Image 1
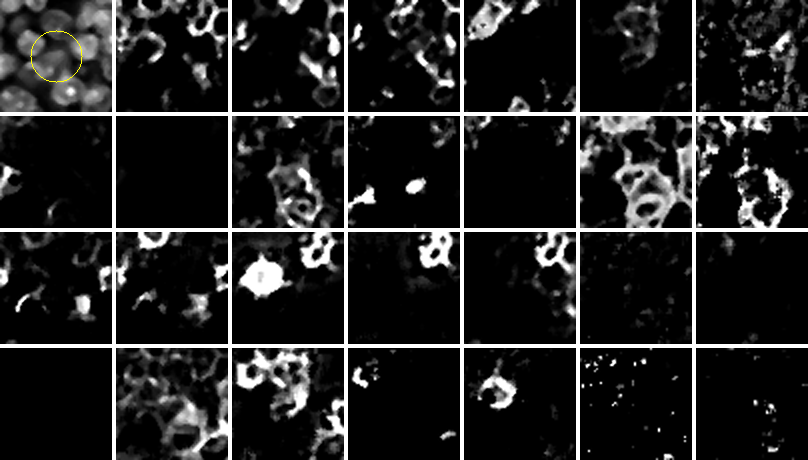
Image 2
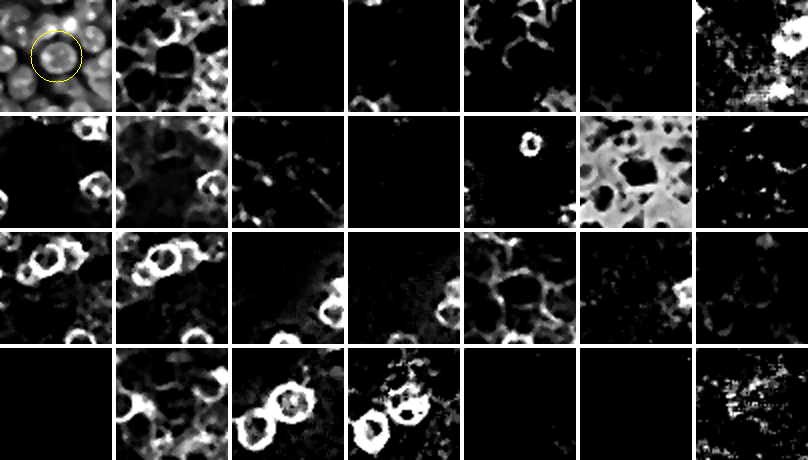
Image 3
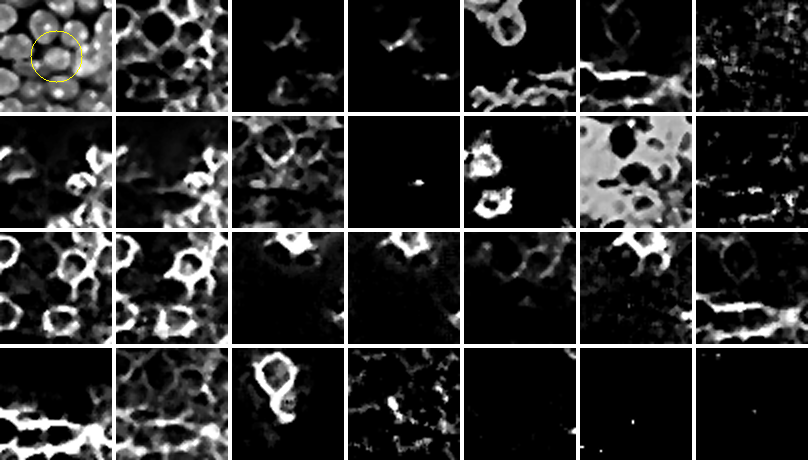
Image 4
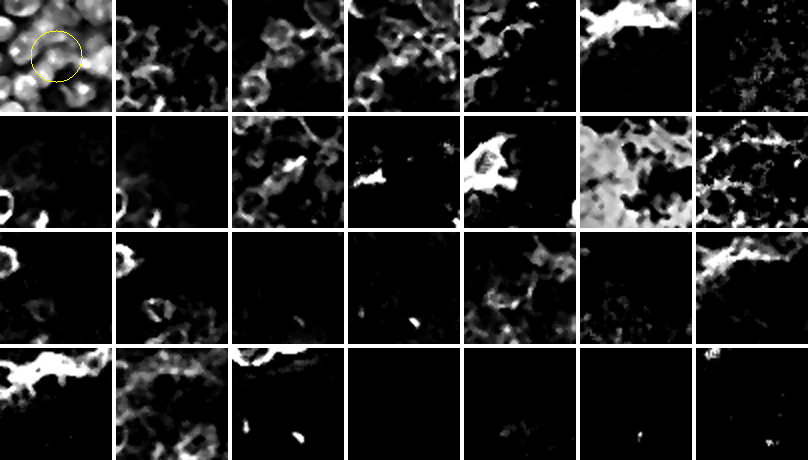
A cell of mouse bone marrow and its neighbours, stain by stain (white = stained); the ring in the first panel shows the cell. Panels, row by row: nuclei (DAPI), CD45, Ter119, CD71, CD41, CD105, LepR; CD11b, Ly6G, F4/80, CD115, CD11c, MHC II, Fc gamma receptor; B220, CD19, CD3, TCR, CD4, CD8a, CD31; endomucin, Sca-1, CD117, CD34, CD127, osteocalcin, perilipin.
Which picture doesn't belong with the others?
Picture 4.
